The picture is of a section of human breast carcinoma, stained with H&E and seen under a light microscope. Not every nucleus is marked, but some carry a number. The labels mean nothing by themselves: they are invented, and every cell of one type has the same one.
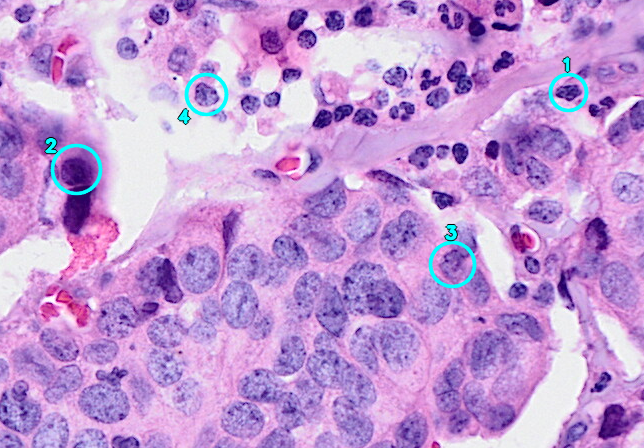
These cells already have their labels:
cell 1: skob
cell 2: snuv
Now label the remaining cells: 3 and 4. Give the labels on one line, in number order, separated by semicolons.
snuv; skob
